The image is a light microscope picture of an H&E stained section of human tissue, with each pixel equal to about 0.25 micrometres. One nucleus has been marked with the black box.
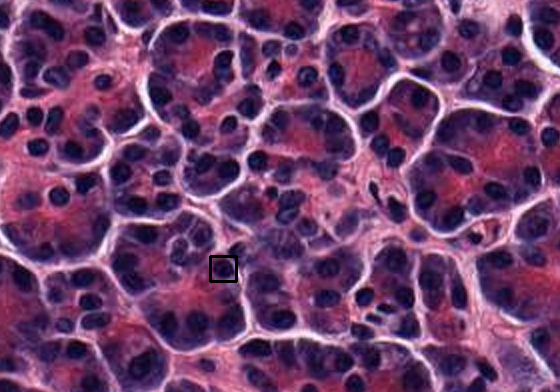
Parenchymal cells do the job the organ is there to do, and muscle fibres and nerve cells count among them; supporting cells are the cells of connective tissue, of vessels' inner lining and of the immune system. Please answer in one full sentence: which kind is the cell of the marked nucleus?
The marked nucleus belongs to a cell of the parenchyma, namely a pancreatic acinar cell.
